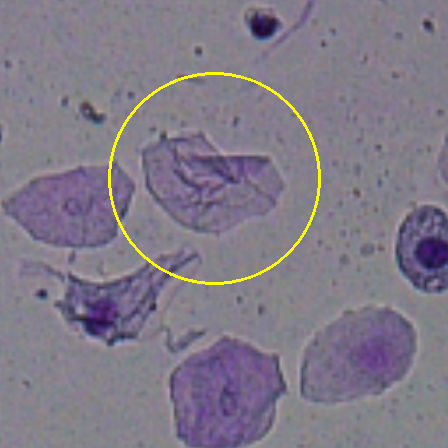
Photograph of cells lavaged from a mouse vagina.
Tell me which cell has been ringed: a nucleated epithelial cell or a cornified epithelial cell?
It is a cornified epithelial cell.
